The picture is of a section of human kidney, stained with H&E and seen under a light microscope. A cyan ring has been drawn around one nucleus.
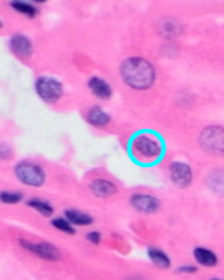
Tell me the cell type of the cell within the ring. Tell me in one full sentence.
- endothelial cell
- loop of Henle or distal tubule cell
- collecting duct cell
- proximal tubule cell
Labelled by cell type, the cell within the ring is a loop of Henle or distal tubule cell.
